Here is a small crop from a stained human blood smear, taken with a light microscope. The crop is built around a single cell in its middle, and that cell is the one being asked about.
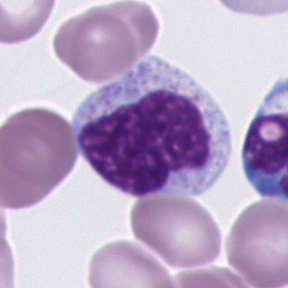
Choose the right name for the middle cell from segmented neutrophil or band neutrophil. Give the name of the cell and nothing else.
band neutrophil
